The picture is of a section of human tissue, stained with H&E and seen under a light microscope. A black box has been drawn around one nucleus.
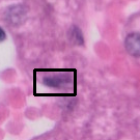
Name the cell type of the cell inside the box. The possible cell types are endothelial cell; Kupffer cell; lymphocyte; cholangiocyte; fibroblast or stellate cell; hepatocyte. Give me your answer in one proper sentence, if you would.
With respect to cell type, the cell inside the box is a fibroblast or stellate cell.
